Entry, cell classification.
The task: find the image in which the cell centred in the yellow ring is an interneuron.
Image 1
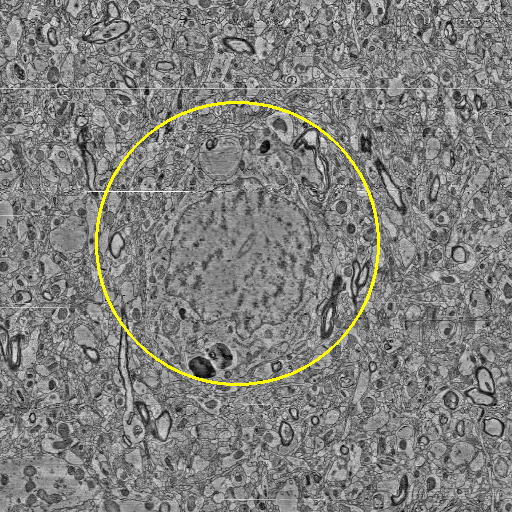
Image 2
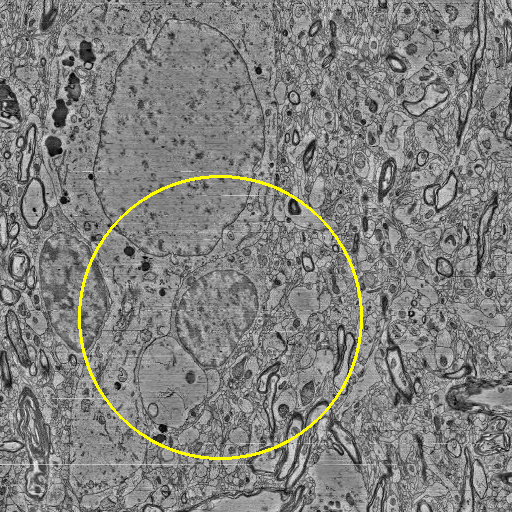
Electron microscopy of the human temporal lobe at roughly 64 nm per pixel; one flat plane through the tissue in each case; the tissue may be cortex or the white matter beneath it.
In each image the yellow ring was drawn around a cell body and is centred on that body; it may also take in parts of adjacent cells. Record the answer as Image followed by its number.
Image 1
